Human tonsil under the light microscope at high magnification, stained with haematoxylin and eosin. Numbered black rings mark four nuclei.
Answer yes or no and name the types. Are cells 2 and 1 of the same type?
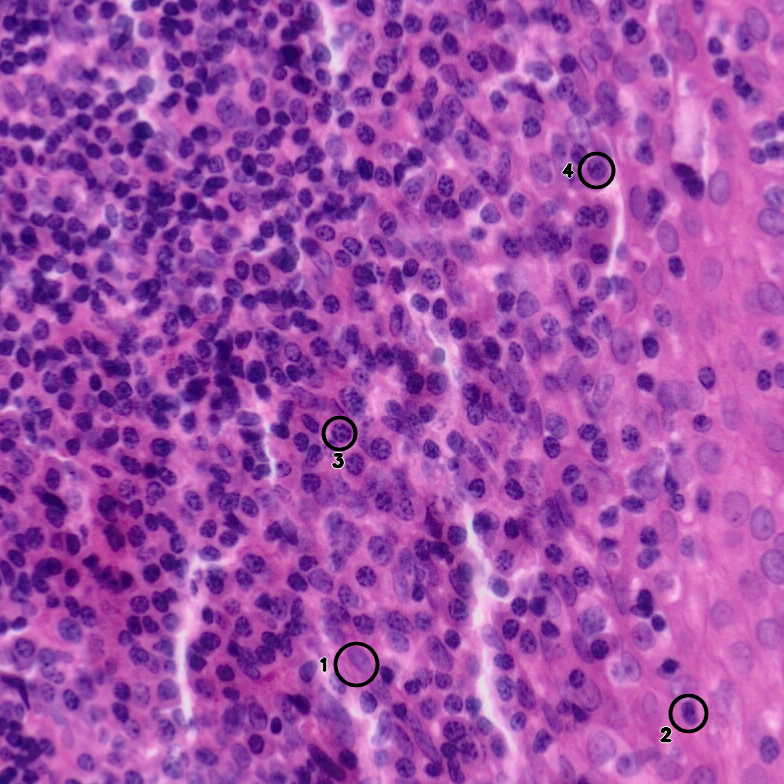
Yes, both are squamous epithelial cells.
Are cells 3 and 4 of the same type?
Yes, both are plasma cells.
